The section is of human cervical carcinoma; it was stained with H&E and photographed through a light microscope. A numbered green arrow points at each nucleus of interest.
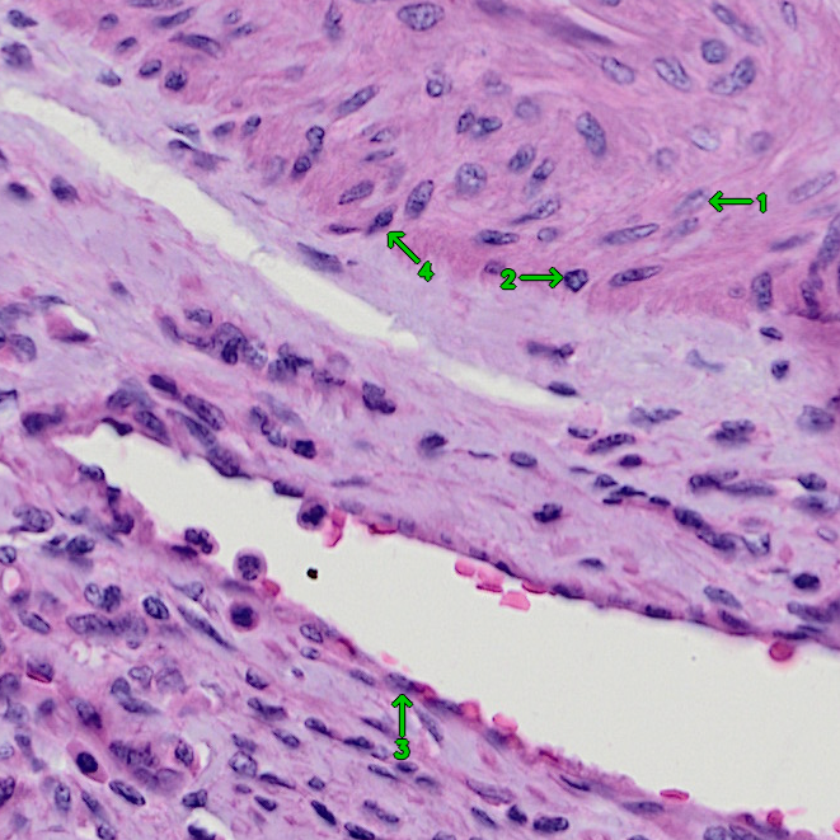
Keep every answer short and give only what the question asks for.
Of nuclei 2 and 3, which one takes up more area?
3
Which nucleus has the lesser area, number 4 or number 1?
4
